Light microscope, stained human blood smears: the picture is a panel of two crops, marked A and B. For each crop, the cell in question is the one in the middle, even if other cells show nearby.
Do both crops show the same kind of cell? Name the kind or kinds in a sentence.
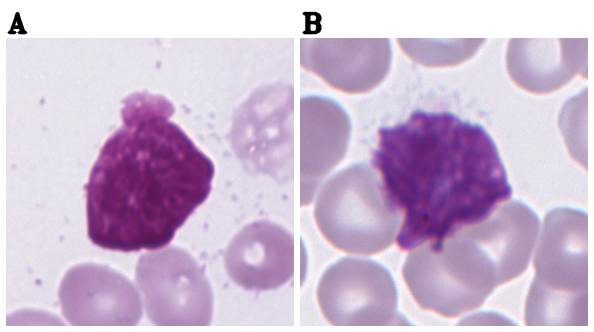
Yes, the two crops both show smudge cells.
